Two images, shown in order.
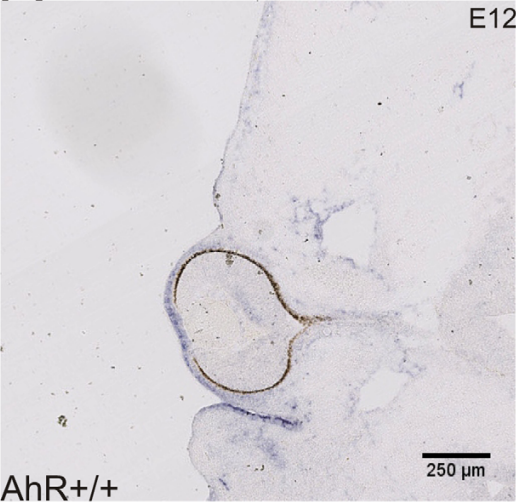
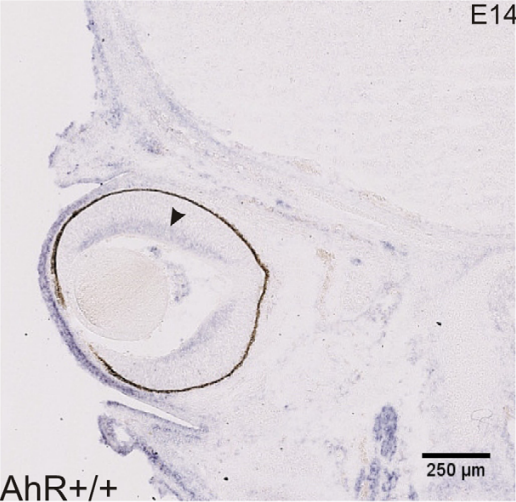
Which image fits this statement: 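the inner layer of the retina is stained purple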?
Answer: The second image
